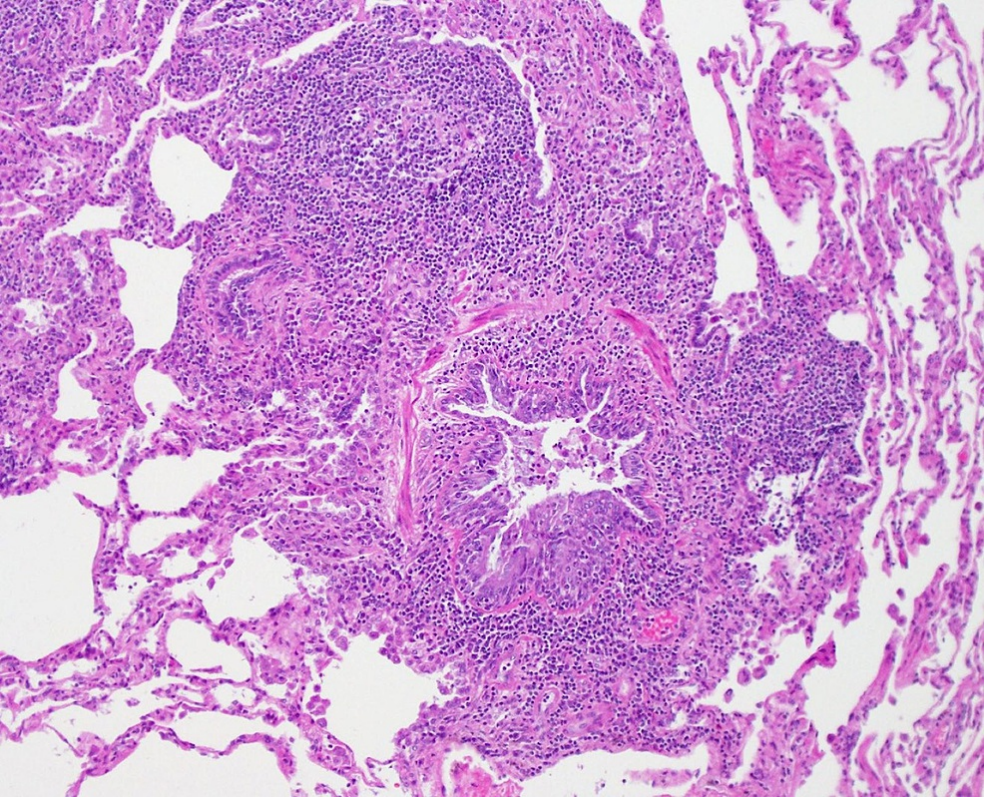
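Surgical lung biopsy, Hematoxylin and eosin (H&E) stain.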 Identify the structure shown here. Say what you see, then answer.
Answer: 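Large, dense, dark purple nodular collections of small round lymphocytes. The collections sit right around the central airway and extend into adjacent tissue. That points to this answer: enlarged peribronchiolar lymphoid follicles.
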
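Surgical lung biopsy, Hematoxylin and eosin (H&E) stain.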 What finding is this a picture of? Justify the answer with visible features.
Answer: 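A small airway lies at the centre, lined by folded epithelium. Dense aggregates of small dark-nucleated lymphocytes crowd around the airway. Alveolar tissue with thin septa surrounds the lesion. On this evidence: follicular bronchiolitis.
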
